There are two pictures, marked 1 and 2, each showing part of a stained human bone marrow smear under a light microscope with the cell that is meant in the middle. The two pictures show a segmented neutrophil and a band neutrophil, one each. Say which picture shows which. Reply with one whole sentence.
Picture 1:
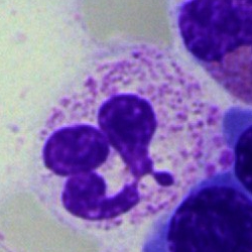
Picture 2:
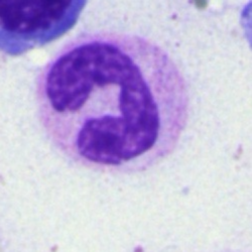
The cell in picture 1 is a segmented neutrophil, and the one in picture 2 is a band neutrophil.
